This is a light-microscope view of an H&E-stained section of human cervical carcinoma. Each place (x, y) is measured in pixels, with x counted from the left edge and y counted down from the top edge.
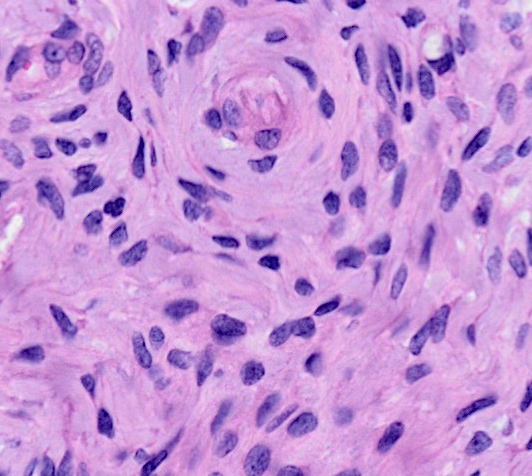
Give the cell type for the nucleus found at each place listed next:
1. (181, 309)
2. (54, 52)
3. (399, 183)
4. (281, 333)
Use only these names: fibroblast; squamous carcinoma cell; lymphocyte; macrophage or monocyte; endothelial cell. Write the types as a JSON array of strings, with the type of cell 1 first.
["fibroblast", "endothelial cell", "fibroblast", "fibroblast"]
